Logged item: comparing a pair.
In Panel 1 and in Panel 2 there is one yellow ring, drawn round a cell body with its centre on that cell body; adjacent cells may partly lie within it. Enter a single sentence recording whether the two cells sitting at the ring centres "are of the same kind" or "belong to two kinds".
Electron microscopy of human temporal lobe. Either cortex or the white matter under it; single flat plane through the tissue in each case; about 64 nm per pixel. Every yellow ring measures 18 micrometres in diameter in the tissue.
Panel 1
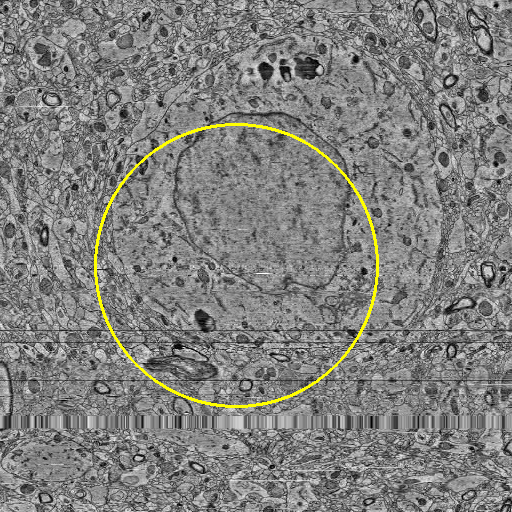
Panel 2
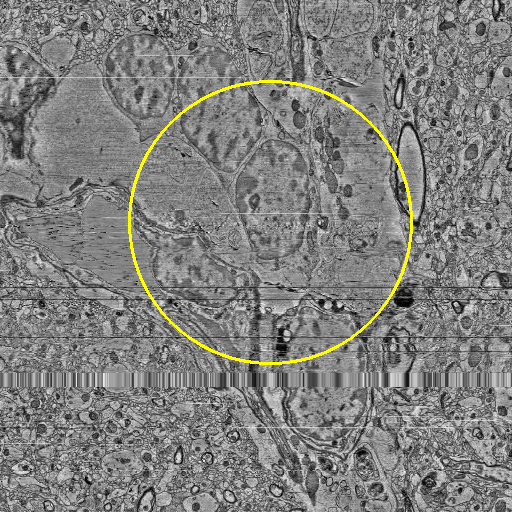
Logged: the cells centred in the rings of Panel 1 and Panel 2 belong to two kinds.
